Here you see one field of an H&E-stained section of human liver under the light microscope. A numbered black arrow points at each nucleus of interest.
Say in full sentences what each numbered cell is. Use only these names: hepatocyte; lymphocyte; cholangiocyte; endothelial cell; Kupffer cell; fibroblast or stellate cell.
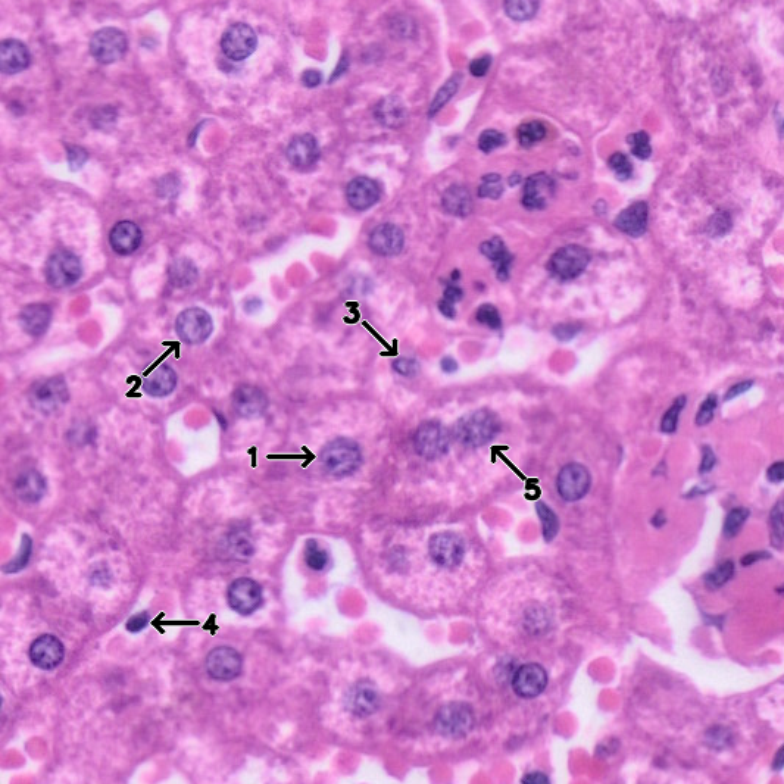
Cells 1, 2 and 5 are hepatocytes. Cell 3 is a Kupffer cell. Cell 4 is a lymphocyte.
